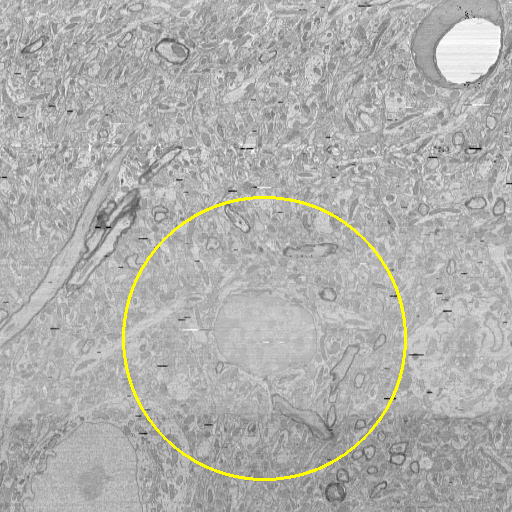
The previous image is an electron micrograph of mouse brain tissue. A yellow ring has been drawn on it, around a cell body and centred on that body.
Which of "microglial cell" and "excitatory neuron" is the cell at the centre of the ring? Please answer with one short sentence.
The cell body at the centre of the ring belongs to a microglial cell.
